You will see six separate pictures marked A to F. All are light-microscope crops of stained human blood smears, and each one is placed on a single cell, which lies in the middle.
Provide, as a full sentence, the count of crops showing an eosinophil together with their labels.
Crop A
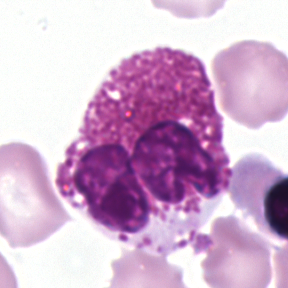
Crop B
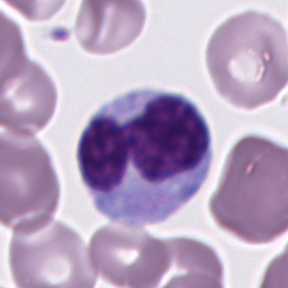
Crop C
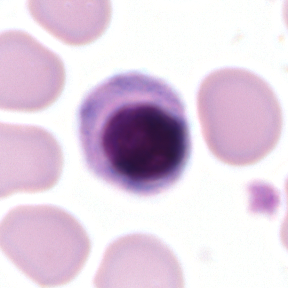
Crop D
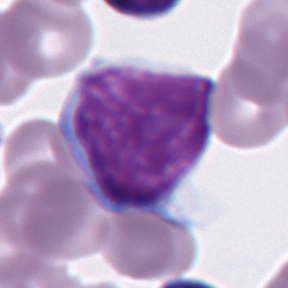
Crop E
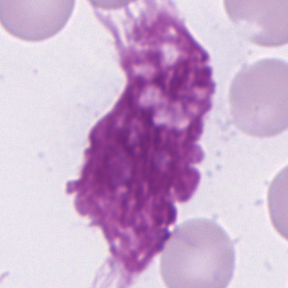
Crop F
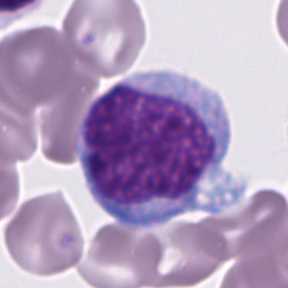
One crop, and only one, shows an eosinophil: that is crop A.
